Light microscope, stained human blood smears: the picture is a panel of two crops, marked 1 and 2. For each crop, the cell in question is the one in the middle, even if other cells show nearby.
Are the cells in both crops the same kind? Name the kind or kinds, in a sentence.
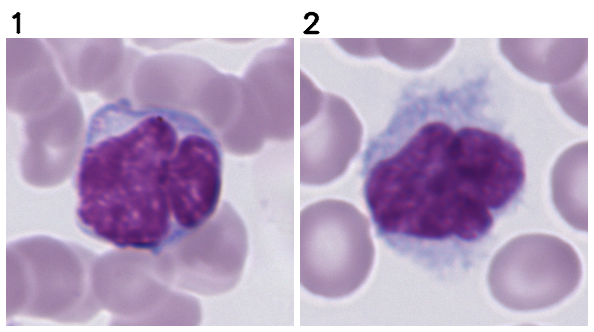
No, the cells are a large granular lymphocyte in crop 1 and a hairy cell in crop 2.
